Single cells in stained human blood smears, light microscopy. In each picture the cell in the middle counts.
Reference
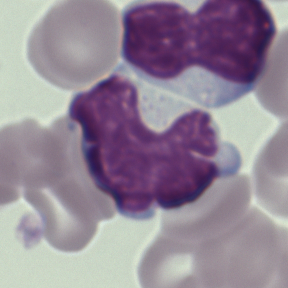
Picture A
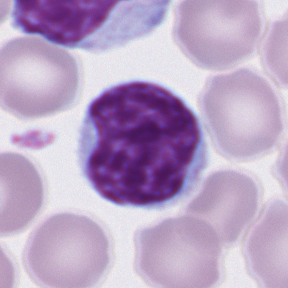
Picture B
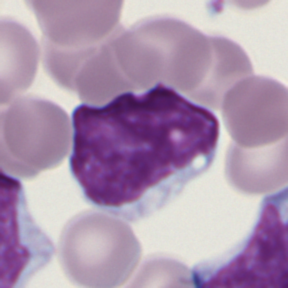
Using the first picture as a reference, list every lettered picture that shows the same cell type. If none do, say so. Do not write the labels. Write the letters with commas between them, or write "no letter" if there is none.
no letter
